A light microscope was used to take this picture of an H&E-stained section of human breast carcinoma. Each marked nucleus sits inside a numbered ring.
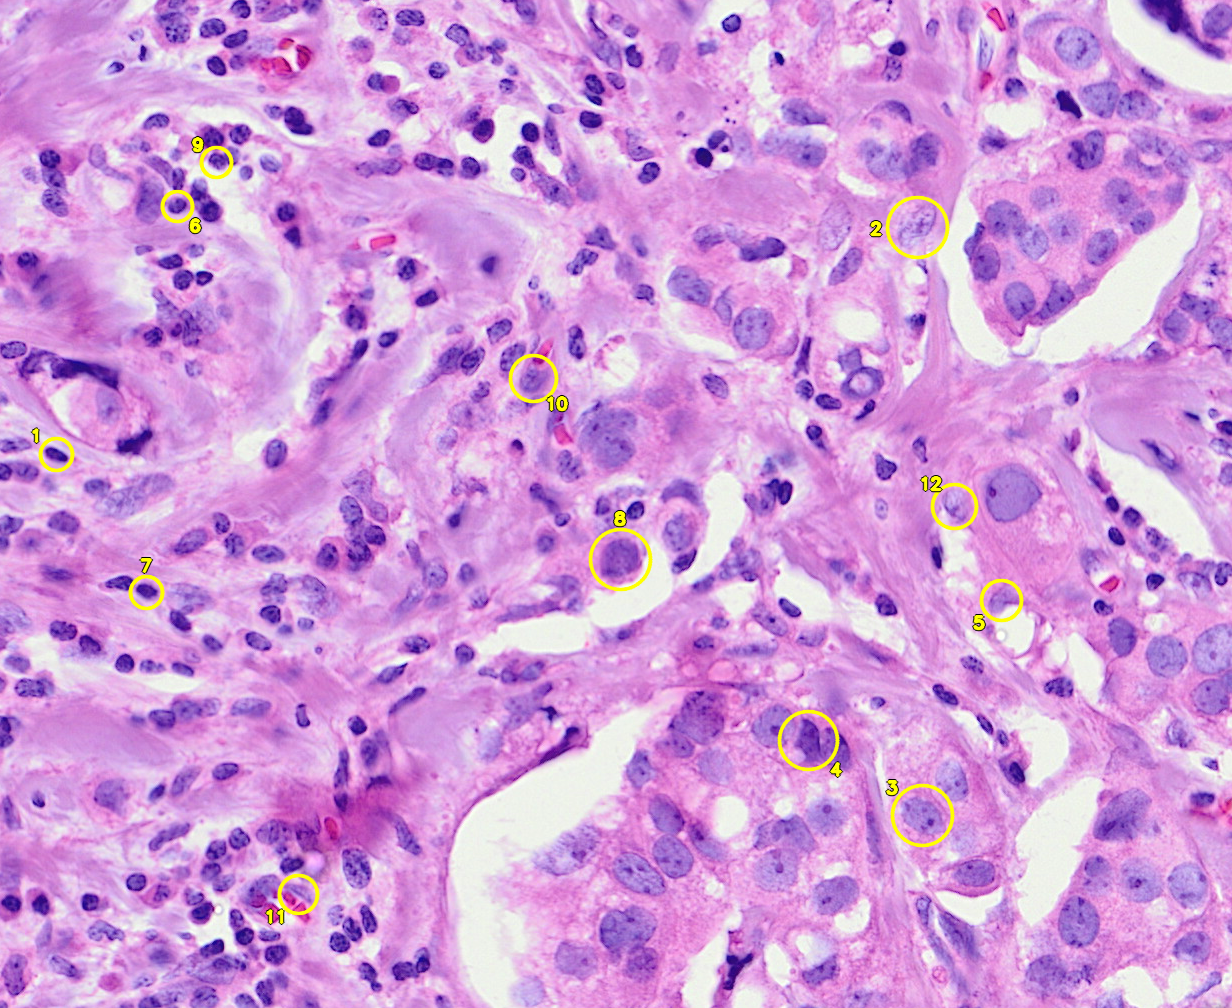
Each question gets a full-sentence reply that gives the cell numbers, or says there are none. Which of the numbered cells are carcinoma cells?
Cells 3, 4 and 8 in the section are typed as carcinoma cells.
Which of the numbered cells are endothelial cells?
Cells 10 and 11 are recognised here as endothelial cells.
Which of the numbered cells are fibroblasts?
Cells that were given the numbers 2, 5 and 12 are fibroblasts.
